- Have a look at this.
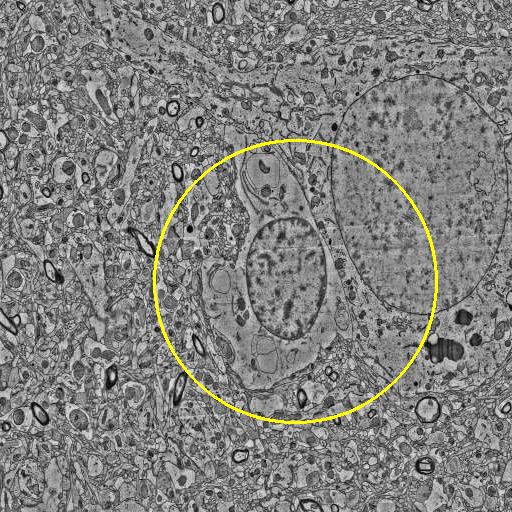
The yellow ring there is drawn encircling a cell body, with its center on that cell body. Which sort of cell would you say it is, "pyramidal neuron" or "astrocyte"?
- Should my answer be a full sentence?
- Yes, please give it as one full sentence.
For this picture, an astrocyte is the cell where the yellow ring has its center.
